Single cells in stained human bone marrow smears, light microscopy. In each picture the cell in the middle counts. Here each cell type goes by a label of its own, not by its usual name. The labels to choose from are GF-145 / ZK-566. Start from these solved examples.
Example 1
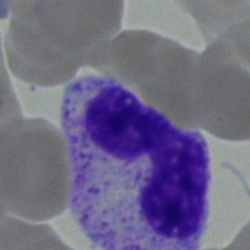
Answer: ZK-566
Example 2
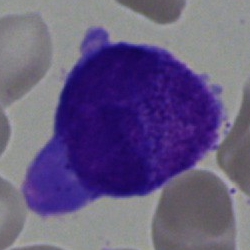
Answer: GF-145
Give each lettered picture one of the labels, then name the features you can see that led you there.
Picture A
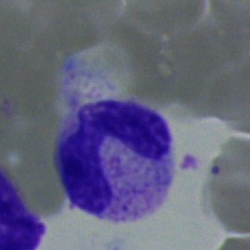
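ZK-566: The nucleus is a thick curved band that wraps around a pale area opening toward the lower right.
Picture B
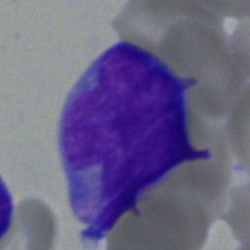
GF-145: The chromatin looks finely dispersed, not coarsely clumped.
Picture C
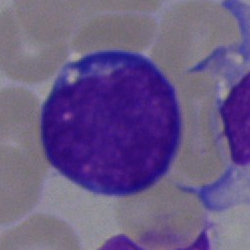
GF-145: The cytoplasm is only a thin rim around the nucleus.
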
